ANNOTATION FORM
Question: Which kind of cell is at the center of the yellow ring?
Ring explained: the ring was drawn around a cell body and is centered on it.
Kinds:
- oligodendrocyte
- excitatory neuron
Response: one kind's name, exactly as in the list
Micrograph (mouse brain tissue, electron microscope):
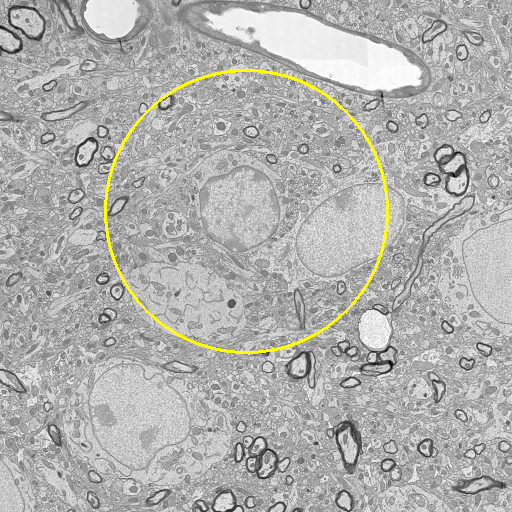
oligodendrocyte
